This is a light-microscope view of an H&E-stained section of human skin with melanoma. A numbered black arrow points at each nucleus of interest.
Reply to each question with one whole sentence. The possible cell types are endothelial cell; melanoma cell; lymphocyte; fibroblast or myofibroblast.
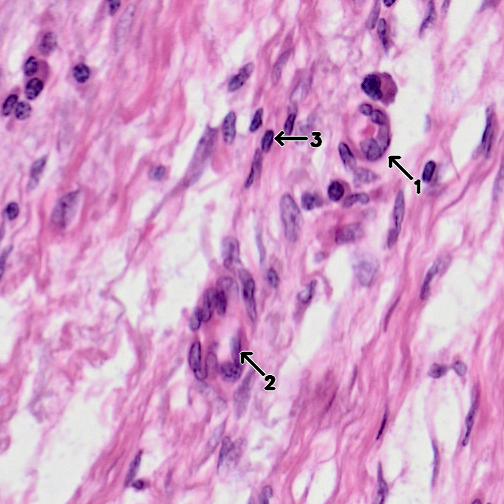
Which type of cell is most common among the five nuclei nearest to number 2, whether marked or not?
Endothelial cells make up most of the five nuclei closest to number 2.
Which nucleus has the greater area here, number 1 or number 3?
The larger nucleus is 1, at roughly 2.5 times the area of 3.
